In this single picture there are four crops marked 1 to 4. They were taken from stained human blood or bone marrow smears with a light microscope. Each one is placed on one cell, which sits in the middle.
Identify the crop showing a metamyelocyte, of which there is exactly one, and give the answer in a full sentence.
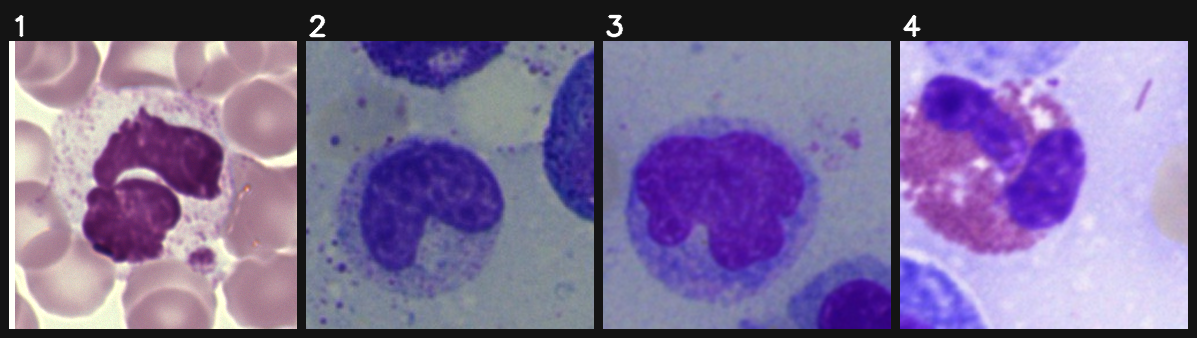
It is crop 2, not any other, that shows a metamyelocyte.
